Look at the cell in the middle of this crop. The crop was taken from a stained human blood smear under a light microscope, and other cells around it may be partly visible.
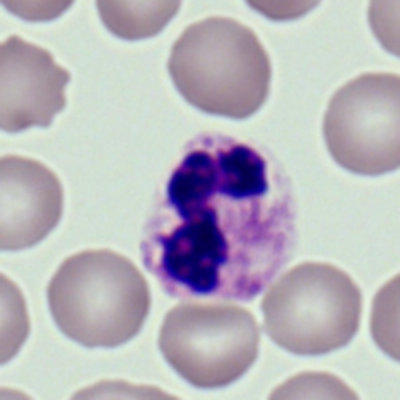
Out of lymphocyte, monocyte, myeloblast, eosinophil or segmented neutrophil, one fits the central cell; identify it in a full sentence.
Centred in the crop is a segmented neutrophil.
